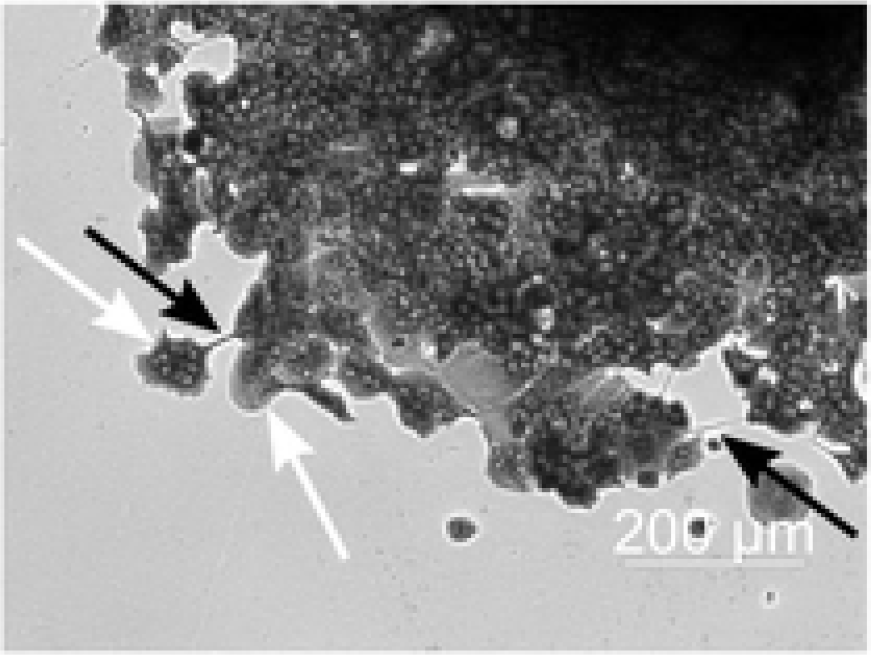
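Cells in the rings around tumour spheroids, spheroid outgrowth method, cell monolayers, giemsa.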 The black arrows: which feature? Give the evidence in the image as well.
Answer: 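Cytoplasmic bridges between cells. The black arrows point to thin strands running between separated cells.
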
